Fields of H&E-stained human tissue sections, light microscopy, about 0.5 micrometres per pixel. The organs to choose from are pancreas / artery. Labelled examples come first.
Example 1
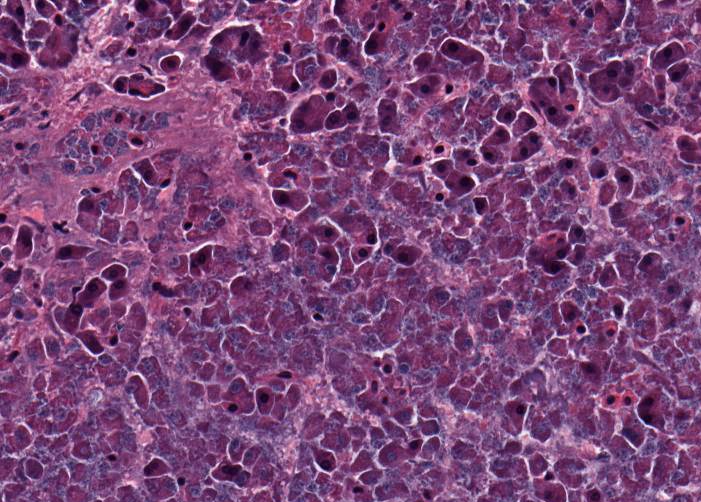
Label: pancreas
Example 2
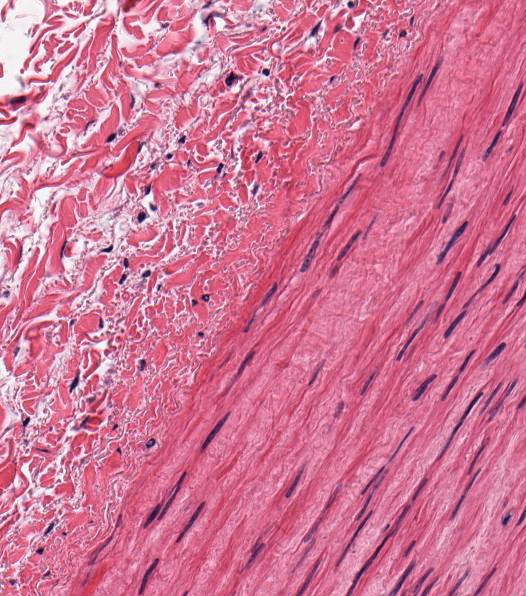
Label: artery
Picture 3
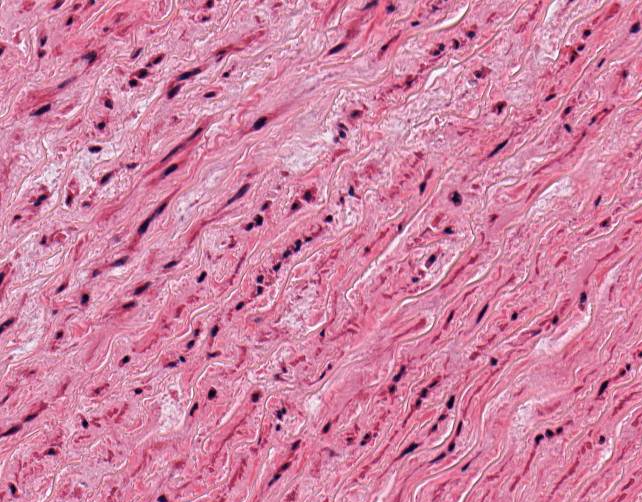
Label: artery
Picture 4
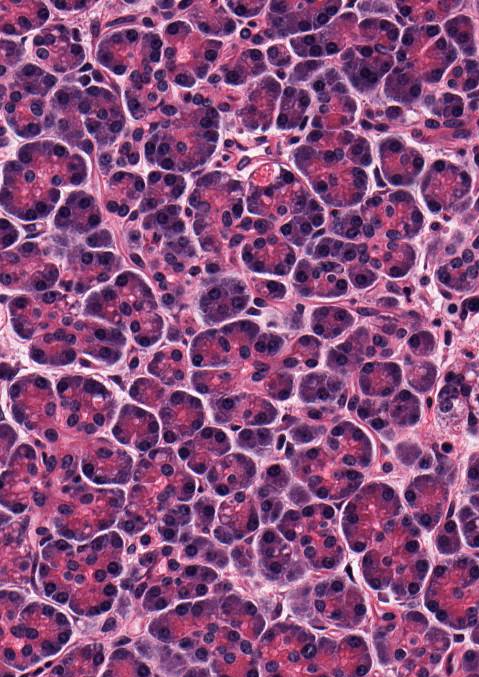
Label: pancreas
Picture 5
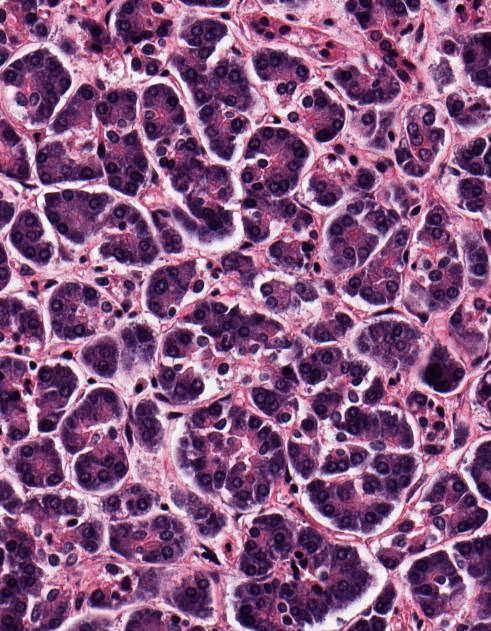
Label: pancreas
